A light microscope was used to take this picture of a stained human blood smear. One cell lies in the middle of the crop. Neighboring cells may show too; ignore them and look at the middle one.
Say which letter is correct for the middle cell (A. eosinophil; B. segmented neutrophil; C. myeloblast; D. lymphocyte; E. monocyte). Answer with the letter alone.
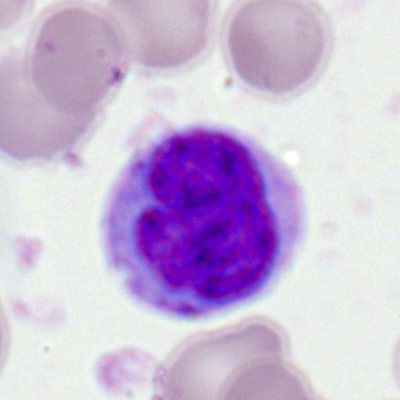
E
